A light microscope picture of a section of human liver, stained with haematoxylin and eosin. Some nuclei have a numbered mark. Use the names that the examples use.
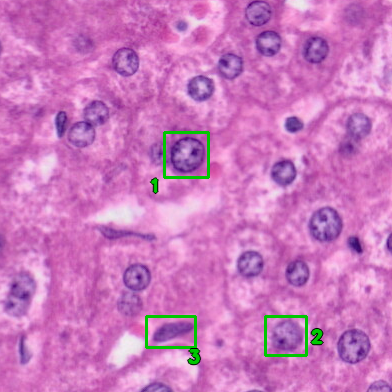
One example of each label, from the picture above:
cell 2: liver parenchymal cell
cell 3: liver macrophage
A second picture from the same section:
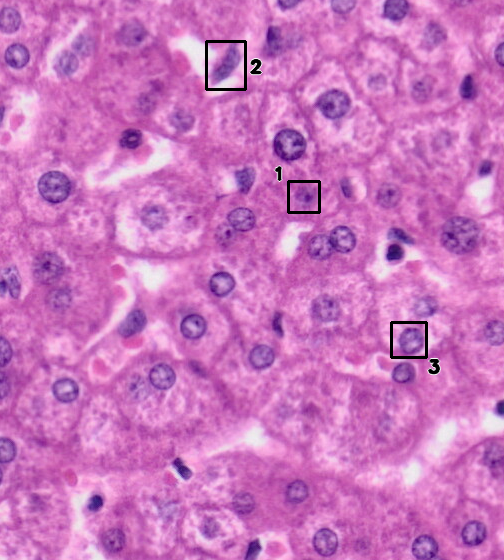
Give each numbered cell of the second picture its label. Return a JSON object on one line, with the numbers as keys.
{"1": "liver parenchymal cell", "2": "liver macrophage", "3": "liver parenchymal cell"}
